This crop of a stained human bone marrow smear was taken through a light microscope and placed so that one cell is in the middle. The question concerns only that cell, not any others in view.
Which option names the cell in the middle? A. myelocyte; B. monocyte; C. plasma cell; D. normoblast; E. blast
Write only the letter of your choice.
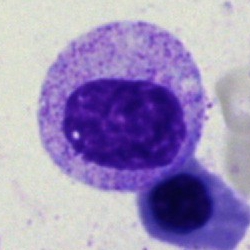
A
